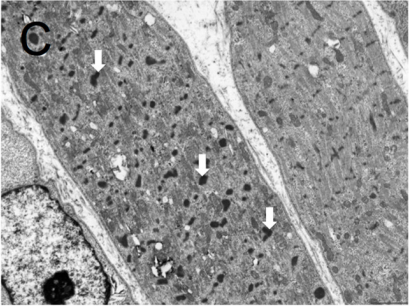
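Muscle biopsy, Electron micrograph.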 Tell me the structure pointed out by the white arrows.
miliary nemaline bodies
